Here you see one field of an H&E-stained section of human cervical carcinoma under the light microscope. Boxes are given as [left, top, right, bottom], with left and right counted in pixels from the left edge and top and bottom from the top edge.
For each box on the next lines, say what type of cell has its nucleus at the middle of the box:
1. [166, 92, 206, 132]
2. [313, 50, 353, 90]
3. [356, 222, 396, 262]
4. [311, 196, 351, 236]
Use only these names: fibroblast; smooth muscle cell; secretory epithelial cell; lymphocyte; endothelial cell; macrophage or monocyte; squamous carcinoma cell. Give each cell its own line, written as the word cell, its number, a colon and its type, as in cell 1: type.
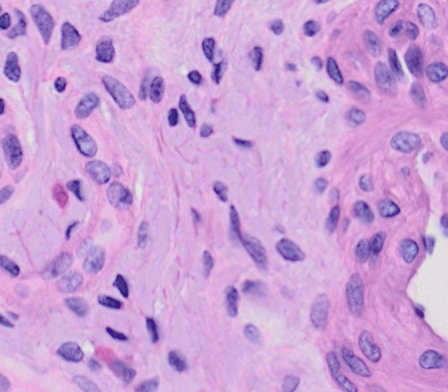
cell 1: fibroblast
cell 2: smooth muscle cell
cell 3: smooth muscle cell
cell 4: smooth muscle cell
